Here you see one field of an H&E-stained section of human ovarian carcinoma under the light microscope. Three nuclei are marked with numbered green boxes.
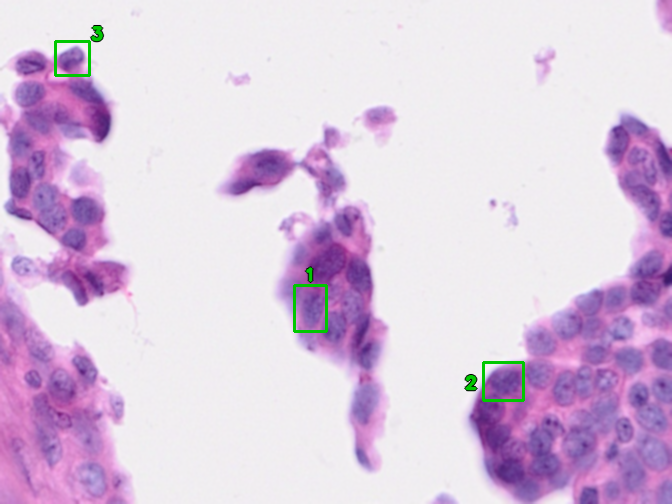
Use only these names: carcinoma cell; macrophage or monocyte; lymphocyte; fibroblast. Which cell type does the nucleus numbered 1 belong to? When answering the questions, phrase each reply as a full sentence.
In this section, the cell numbered 1 is a carcinoma cell.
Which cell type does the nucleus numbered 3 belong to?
What the number 3 marks in this field is a macrophage or monocyte.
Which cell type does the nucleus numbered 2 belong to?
The cell assigned the number 2 is a carcinoma cell.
